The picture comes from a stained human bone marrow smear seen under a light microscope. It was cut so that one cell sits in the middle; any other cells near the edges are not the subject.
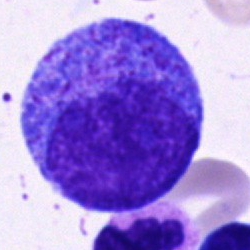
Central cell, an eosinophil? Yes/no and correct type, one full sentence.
No, instead of an eosinophil, the middle cell is a promyelocyte.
